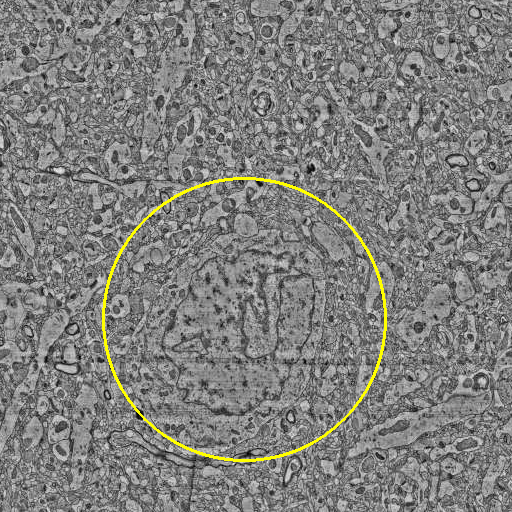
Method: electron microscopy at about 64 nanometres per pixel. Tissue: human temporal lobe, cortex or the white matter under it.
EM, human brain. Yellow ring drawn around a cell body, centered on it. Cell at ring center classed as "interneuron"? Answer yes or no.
yes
